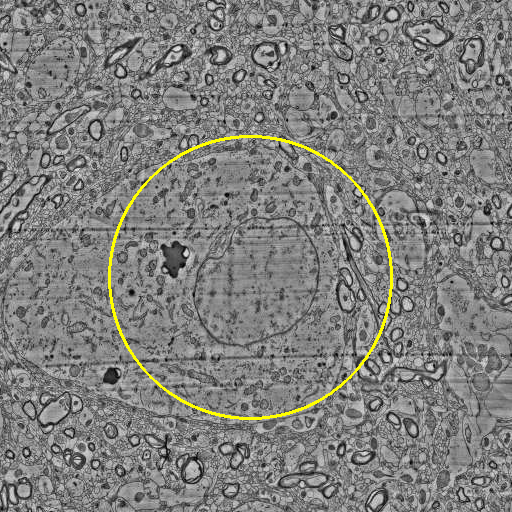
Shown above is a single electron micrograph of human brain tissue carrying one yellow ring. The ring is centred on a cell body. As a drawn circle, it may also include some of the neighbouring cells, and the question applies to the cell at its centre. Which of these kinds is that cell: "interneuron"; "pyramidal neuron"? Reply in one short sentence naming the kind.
The cell marked by the ring is a pyramidal neuron.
